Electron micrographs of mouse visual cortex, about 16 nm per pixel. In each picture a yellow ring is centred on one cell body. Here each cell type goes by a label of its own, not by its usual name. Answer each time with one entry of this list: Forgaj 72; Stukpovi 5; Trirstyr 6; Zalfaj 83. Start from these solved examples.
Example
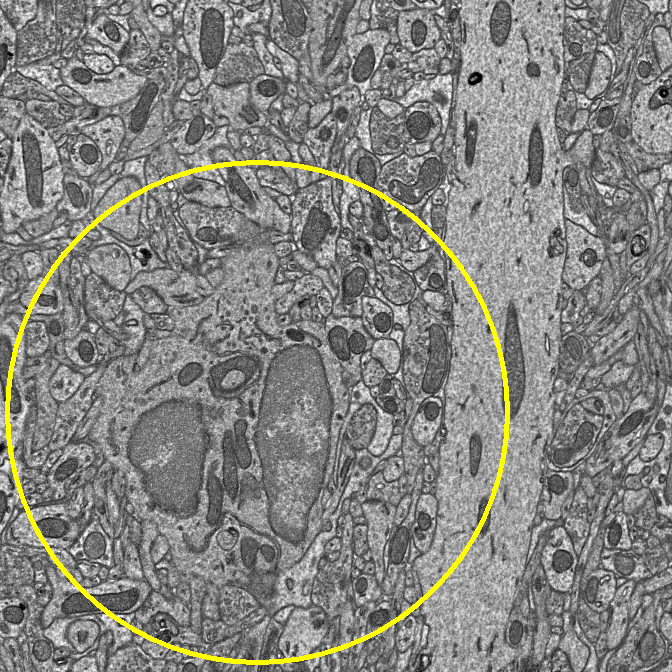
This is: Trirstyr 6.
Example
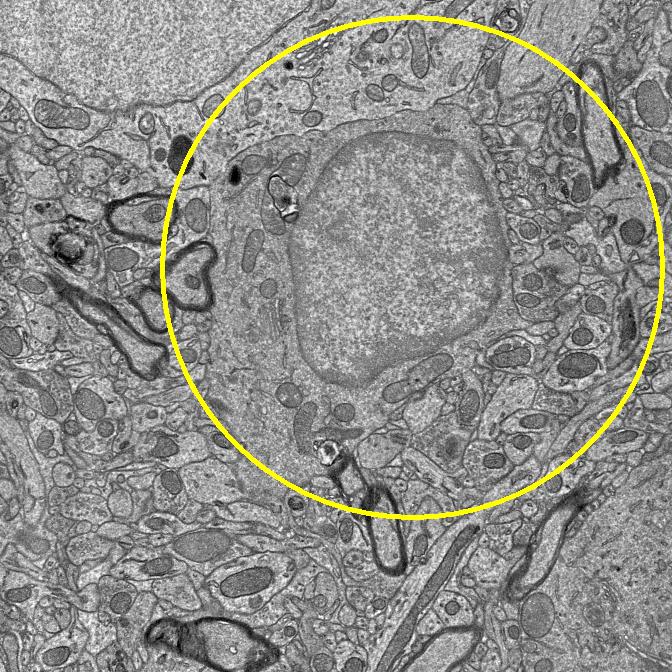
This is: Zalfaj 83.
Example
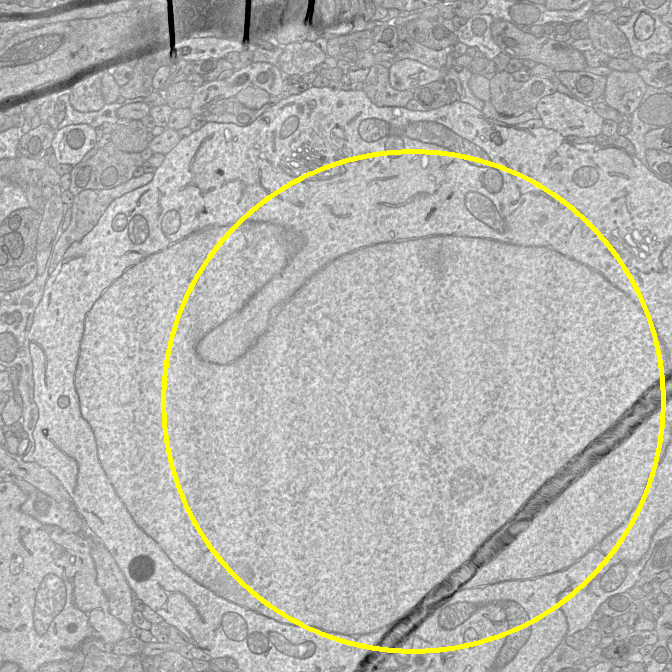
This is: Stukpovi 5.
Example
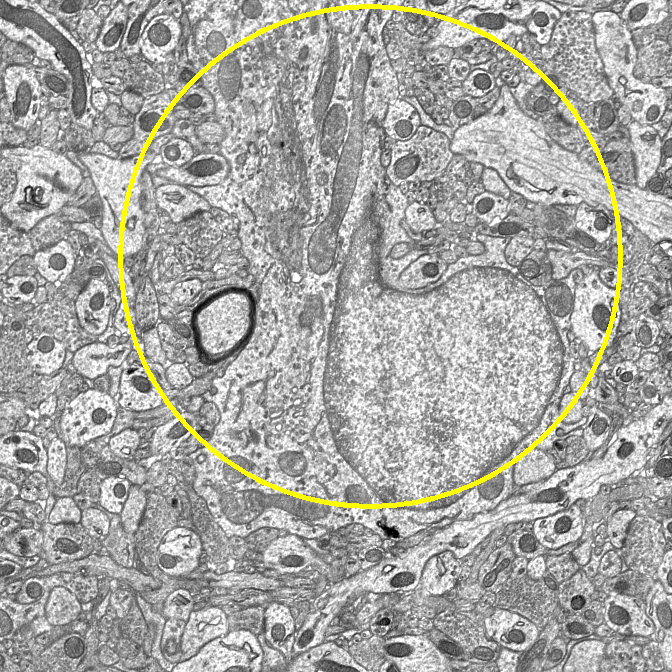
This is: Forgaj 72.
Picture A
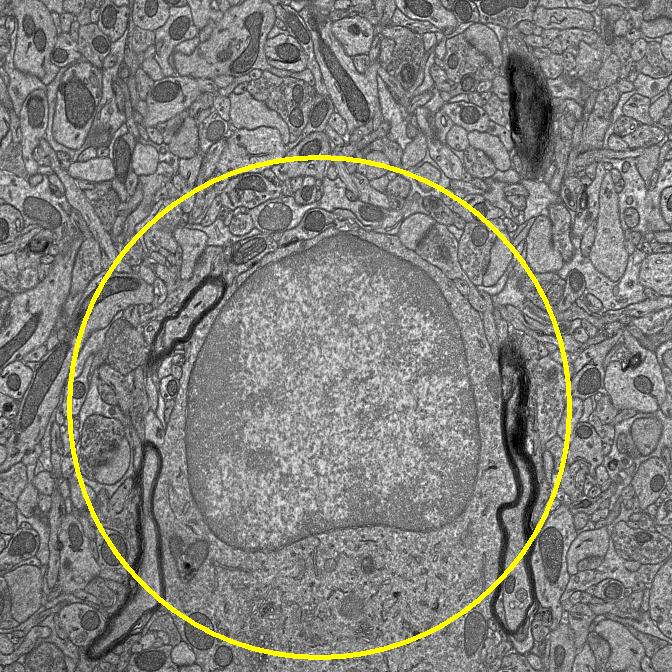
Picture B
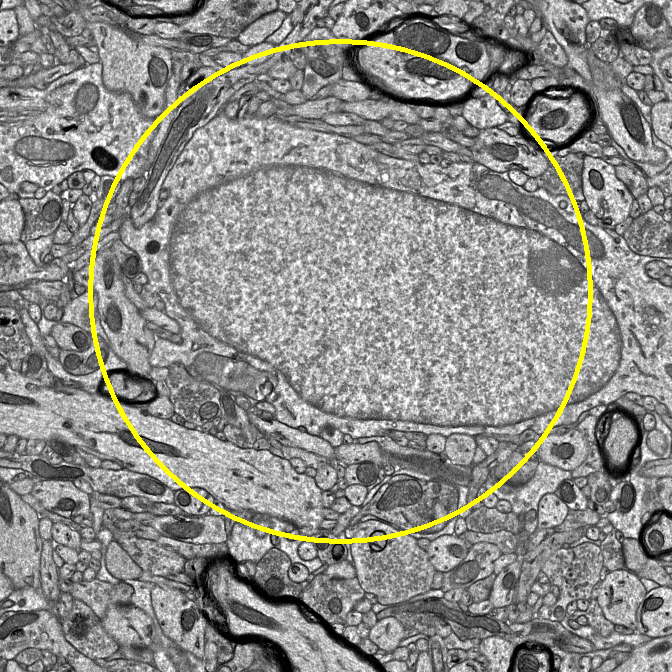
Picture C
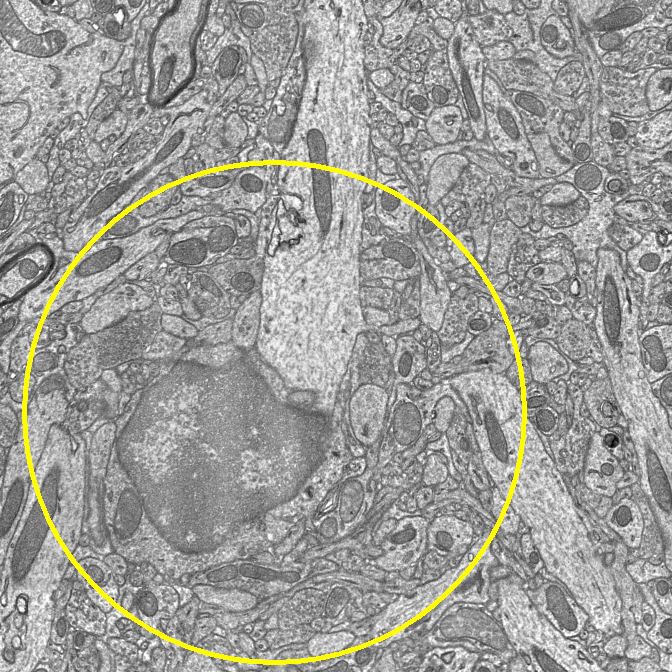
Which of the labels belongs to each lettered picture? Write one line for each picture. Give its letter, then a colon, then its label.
A: Zalfaj 83.
B: Forgaj 72.
C: Zalfaj 83.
